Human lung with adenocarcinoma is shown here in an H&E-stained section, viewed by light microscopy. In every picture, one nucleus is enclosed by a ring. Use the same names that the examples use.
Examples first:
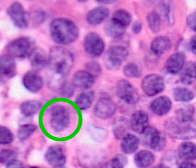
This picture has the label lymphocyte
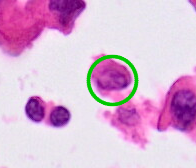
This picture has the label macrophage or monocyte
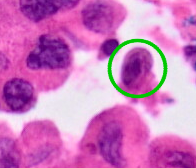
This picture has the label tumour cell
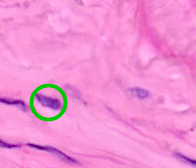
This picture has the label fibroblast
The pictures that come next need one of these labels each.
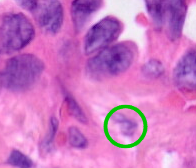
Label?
fibroblast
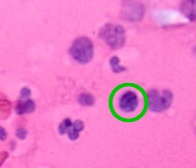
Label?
lymphocyte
